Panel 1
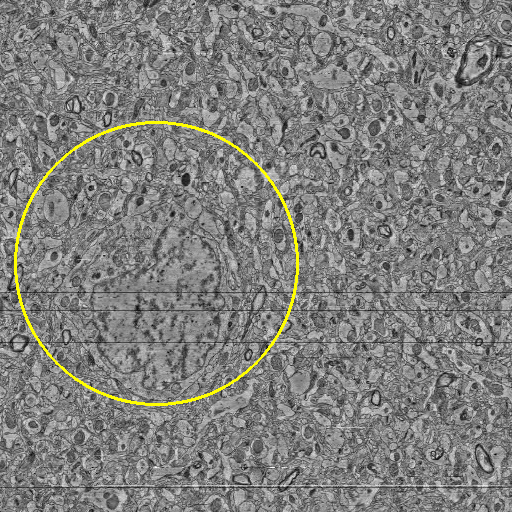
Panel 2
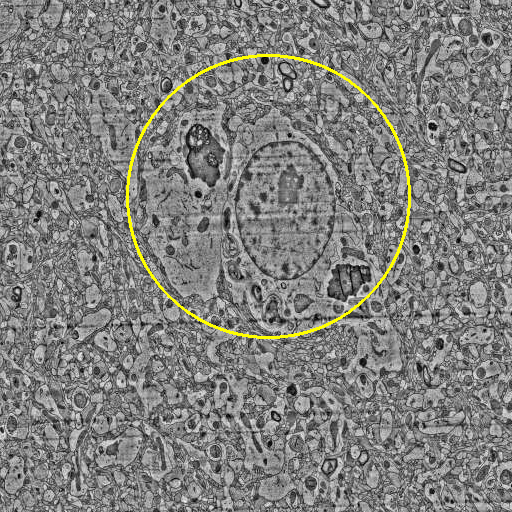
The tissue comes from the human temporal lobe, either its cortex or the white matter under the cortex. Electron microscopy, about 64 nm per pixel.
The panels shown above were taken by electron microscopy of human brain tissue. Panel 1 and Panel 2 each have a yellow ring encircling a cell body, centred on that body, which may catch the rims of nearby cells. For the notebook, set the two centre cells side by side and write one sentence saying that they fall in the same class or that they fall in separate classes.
The centred cells of Panel 1 and Panel 2 fall in separate classes.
